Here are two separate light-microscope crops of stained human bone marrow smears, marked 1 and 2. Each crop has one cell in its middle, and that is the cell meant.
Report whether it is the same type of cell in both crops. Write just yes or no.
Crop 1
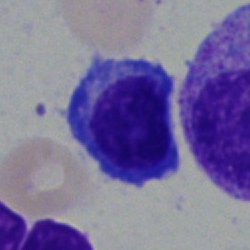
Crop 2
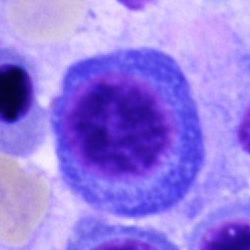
yes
